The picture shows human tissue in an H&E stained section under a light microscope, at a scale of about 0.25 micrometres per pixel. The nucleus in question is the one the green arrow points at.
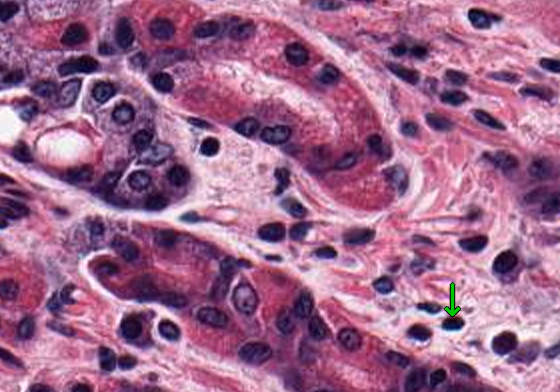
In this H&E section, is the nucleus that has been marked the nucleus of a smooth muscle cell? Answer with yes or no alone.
no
